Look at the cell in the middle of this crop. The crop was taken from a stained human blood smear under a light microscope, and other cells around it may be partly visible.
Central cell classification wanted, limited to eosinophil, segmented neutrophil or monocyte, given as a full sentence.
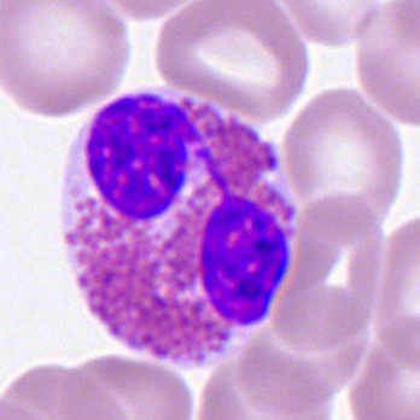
Framed in the middle of the crop is an eosinophil.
